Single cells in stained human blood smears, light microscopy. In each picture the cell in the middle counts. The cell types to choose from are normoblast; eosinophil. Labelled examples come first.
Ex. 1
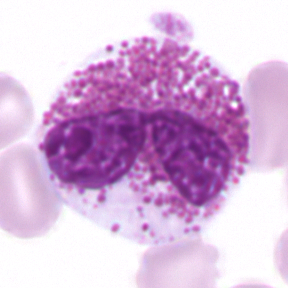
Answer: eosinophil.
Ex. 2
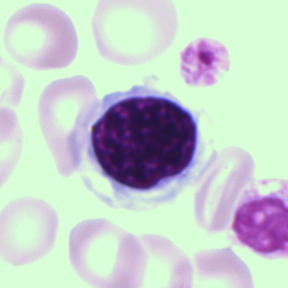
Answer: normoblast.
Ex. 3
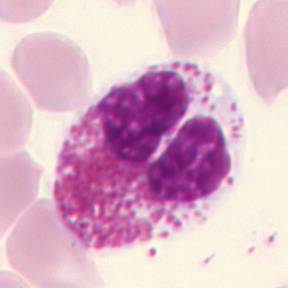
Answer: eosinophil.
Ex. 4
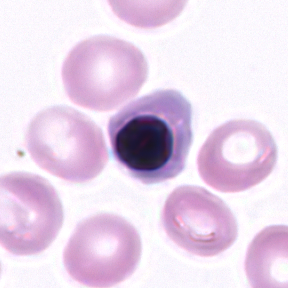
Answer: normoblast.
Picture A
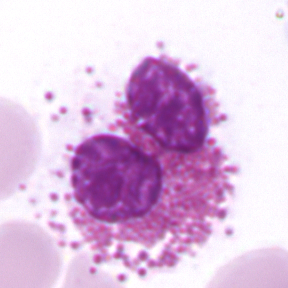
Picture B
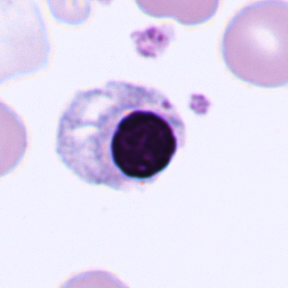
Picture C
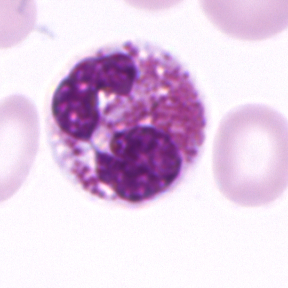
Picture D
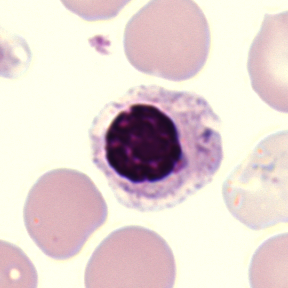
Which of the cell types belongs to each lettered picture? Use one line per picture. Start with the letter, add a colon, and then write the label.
A: eosinophil.
B: normoblast.
C: eosinophil.
D: normoblast.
